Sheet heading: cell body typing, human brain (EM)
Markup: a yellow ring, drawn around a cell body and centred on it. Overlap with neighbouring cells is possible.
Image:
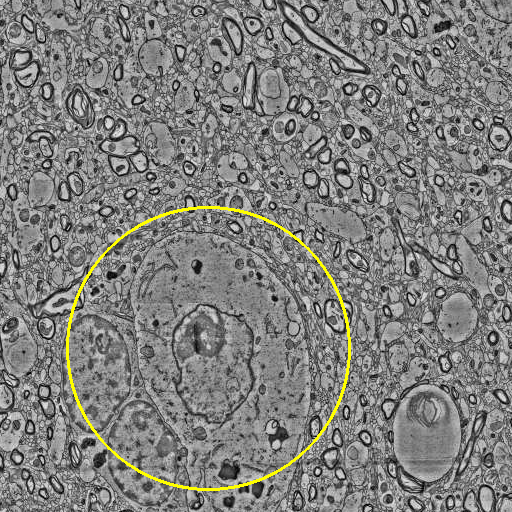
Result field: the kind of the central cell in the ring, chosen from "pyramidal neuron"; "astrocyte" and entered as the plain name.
pyramidal neuron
